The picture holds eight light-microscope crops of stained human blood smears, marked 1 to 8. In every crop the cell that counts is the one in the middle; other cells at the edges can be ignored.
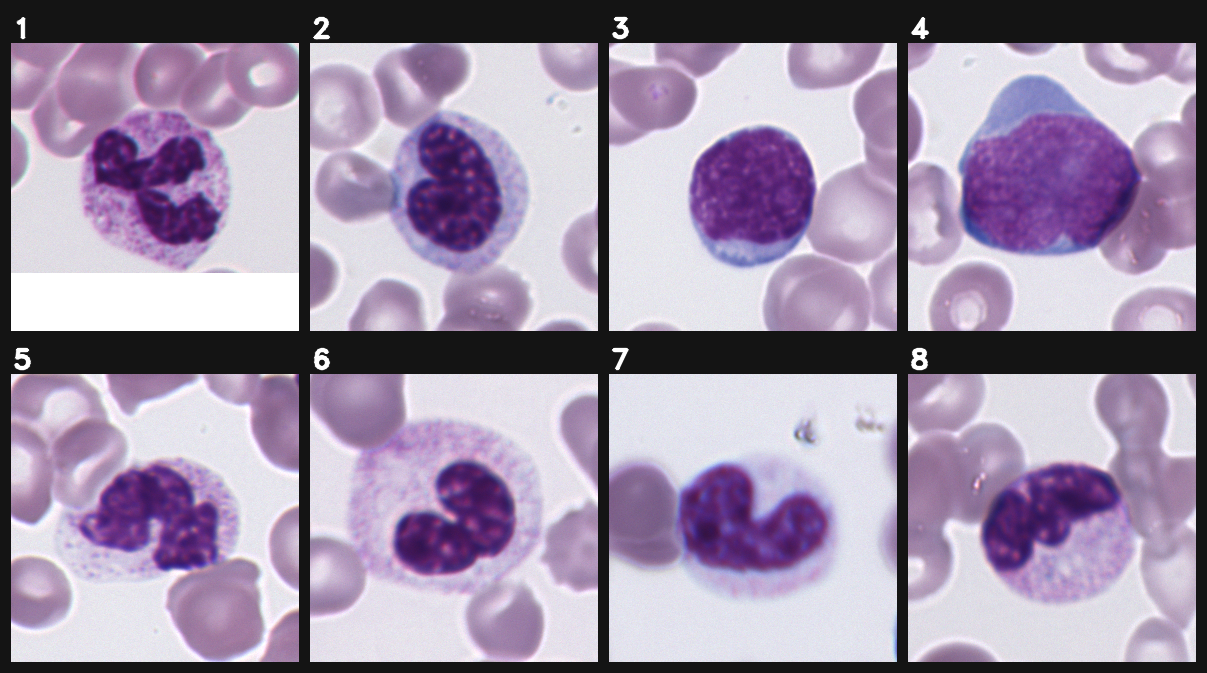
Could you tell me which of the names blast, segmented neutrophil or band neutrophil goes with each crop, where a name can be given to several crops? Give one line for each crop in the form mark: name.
1: segmented neutrophil
2: band neutrophil
3: blast
4: blast
5: segmented neutrophil
6: segmented neutrophil
7: band neutrophil
8: segmented neutrophil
